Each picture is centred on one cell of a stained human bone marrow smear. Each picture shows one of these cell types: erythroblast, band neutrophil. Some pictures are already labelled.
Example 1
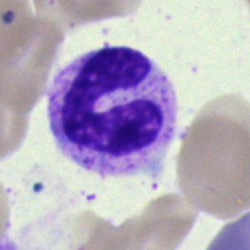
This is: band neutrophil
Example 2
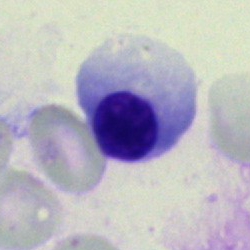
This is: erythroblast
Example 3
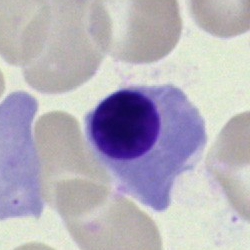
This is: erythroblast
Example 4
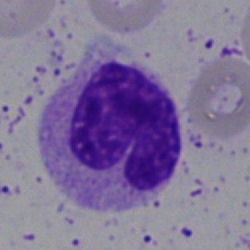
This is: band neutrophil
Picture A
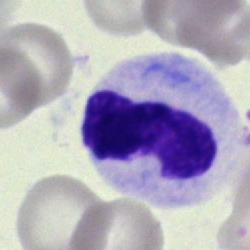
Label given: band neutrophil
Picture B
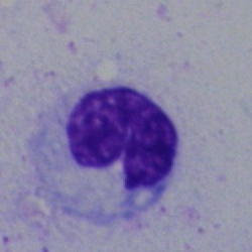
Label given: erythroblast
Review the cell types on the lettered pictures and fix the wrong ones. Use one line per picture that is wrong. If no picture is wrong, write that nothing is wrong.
B is labelled erythroblast; correct label: band neutrophil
